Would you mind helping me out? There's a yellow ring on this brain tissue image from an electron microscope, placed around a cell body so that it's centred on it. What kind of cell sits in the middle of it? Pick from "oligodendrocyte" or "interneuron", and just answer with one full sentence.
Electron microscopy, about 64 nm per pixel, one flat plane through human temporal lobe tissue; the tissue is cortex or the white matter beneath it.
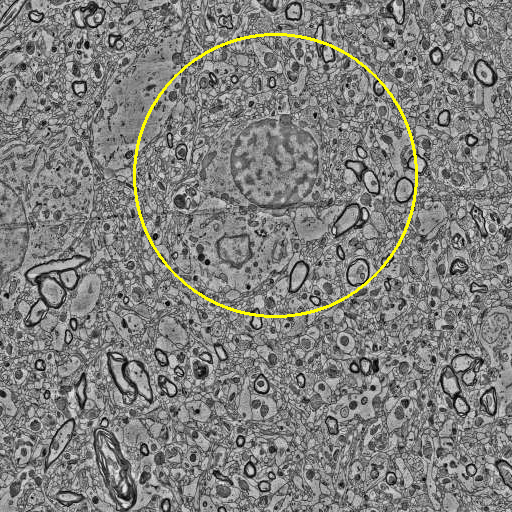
What sits in the middle of that yellow ring is an oligodendrocyte, from your choices.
